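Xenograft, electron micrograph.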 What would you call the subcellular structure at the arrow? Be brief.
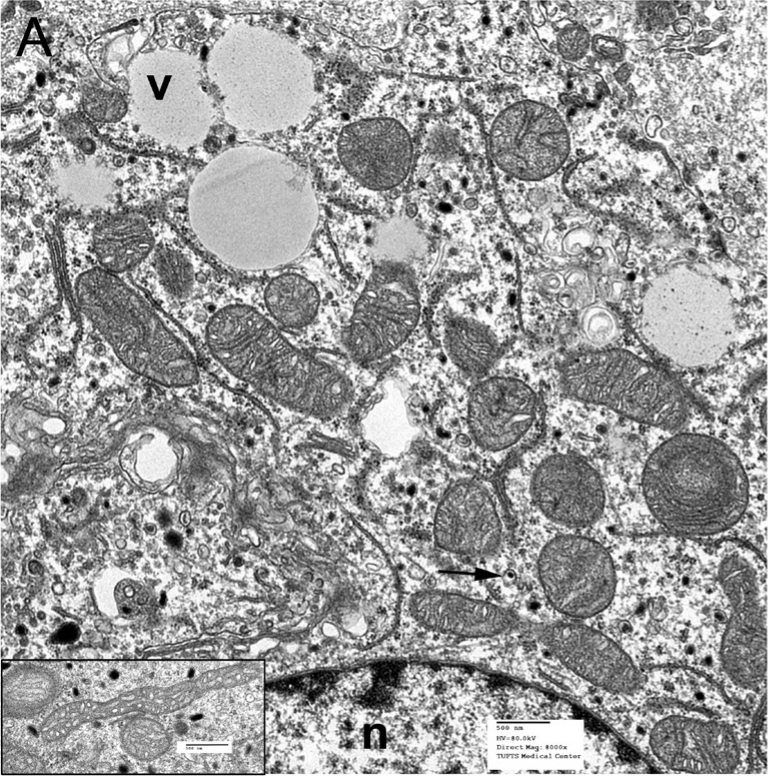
Secretory granules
